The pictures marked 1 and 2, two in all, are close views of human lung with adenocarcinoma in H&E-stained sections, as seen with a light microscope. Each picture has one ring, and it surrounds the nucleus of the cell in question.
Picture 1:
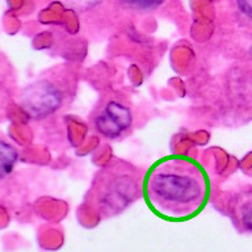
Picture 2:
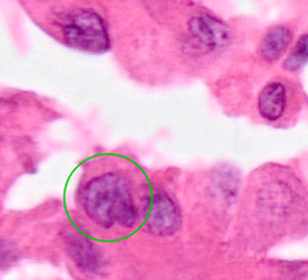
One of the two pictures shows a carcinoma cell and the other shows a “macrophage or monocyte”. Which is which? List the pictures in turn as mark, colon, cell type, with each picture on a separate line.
1: macrophage or monocyte
2: carcinoma cell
